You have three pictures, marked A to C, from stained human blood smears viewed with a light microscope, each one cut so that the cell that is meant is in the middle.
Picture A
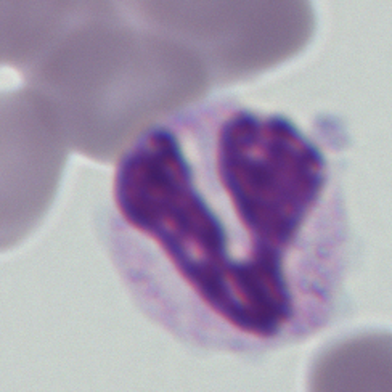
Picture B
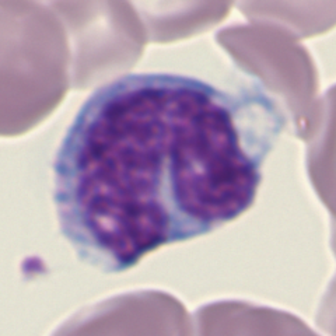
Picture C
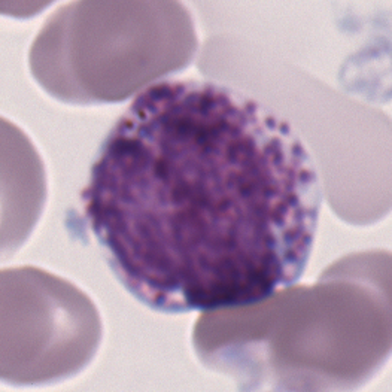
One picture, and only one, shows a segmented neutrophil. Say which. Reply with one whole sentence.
The picture with the segmented neutrophil is A.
